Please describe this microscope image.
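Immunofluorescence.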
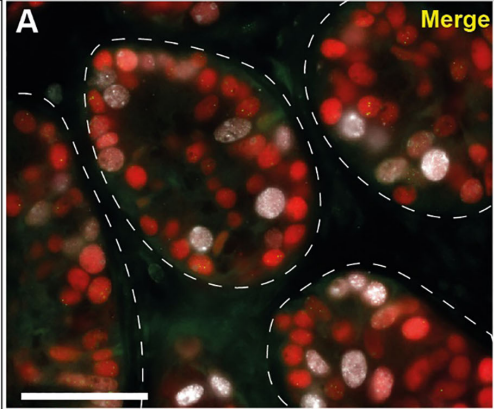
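Many nuclei are additionally white, appearing pale pink to white, scattered both near the border and in the centre of the profiles. Green signal is faint and diffuse, with no brightly green cells. The interstitium between profiles is dark with few nuclei.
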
